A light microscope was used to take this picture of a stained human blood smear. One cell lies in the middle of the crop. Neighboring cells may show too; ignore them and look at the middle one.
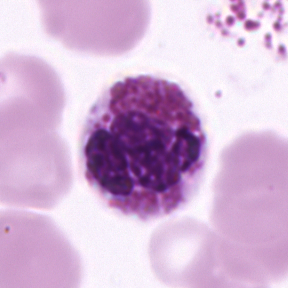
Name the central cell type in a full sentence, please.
The cell the crop is centered on is an eosinophil.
